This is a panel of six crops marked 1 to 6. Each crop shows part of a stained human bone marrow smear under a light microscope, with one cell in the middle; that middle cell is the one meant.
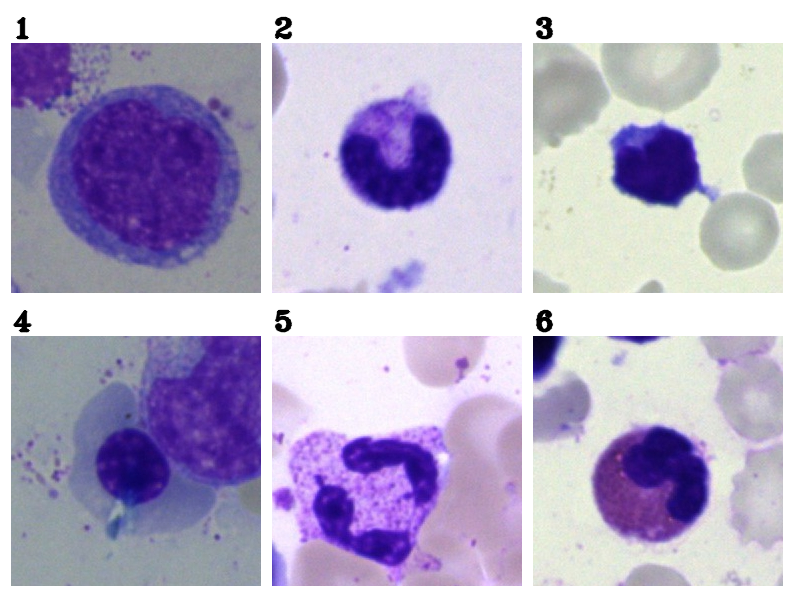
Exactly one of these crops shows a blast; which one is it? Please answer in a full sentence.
Among these crops, crop 1 holds a blast.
